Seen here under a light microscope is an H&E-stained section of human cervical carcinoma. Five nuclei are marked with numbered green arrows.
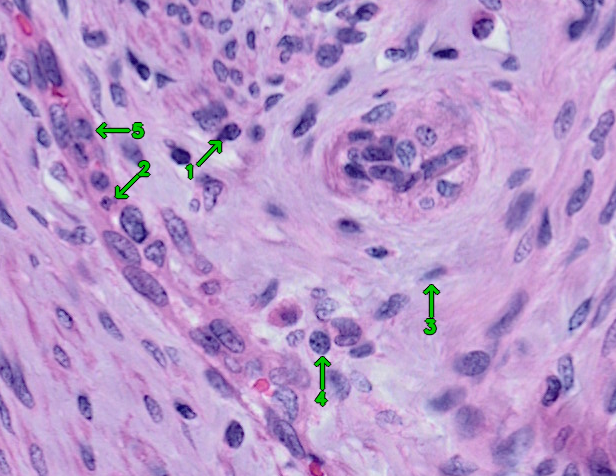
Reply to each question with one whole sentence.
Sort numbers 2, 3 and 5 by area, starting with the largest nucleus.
Largest first, the order by area is 5, 3, 2.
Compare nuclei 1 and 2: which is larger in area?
Nucleus 1 is the larger one, covering about 2.5 times the area of nucleus 2.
